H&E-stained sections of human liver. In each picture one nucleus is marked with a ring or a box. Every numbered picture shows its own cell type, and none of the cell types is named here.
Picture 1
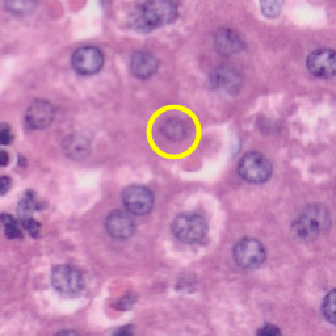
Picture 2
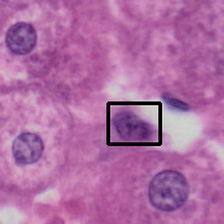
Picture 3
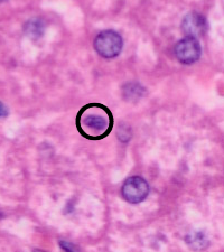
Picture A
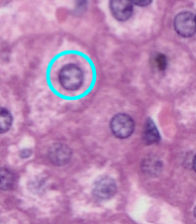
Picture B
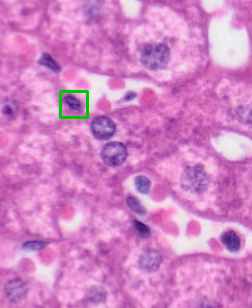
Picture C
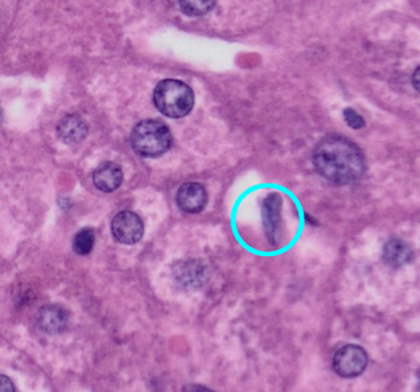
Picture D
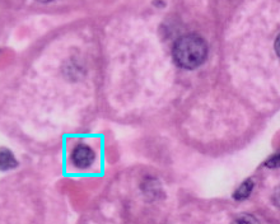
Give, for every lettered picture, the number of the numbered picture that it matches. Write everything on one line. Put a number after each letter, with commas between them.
A 1, B 2, C 2, D 3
